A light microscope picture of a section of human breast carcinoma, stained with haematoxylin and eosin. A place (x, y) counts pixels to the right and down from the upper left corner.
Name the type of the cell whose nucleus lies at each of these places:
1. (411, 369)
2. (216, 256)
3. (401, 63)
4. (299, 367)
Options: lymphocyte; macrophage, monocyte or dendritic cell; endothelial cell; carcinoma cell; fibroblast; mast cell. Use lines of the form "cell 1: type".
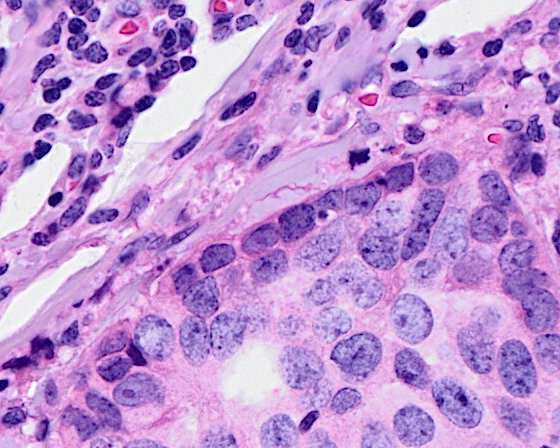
cell 1: carcinoma cell
cell 2: carcinoma cell
cell 3: lymphocyte
cell 4: carcinoma cell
